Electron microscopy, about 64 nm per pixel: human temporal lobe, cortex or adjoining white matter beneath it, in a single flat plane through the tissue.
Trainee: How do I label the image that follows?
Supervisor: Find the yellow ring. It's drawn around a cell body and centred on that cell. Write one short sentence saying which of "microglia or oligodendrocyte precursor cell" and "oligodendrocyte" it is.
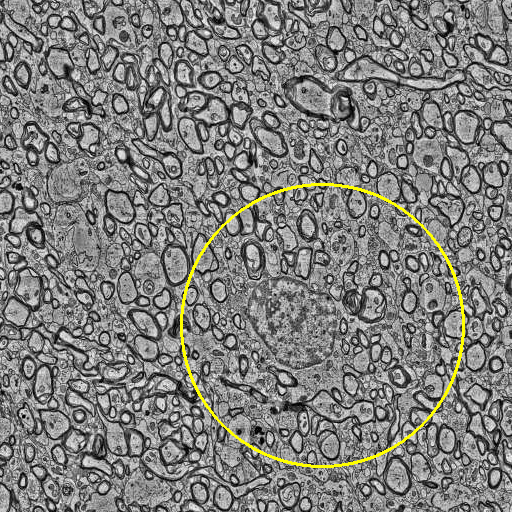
This is the cell body of an oligodendrocyte.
